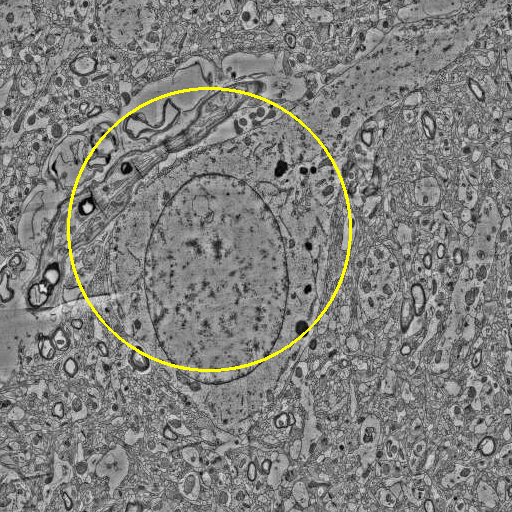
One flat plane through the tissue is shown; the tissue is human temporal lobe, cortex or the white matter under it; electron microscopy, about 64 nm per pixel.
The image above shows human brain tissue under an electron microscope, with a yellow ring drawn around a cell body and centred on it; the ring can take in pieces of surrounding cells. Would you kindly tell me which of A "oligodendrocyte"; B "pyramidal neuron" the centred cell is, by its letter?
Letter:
B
